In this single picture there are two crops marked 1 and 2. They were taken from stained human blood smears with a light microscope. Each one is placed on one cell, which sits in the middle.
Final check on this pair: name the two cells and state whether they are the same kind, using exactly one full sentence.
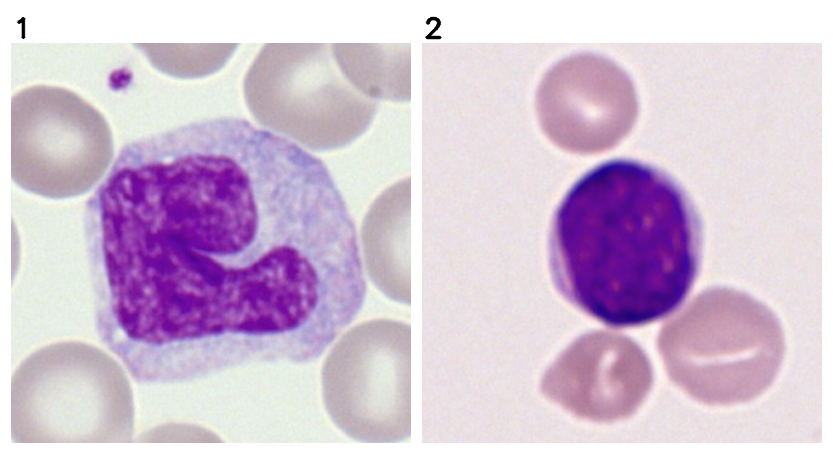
No, crop 1 contains a monocyte, whereas crop 2 contains a lymphocyte.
